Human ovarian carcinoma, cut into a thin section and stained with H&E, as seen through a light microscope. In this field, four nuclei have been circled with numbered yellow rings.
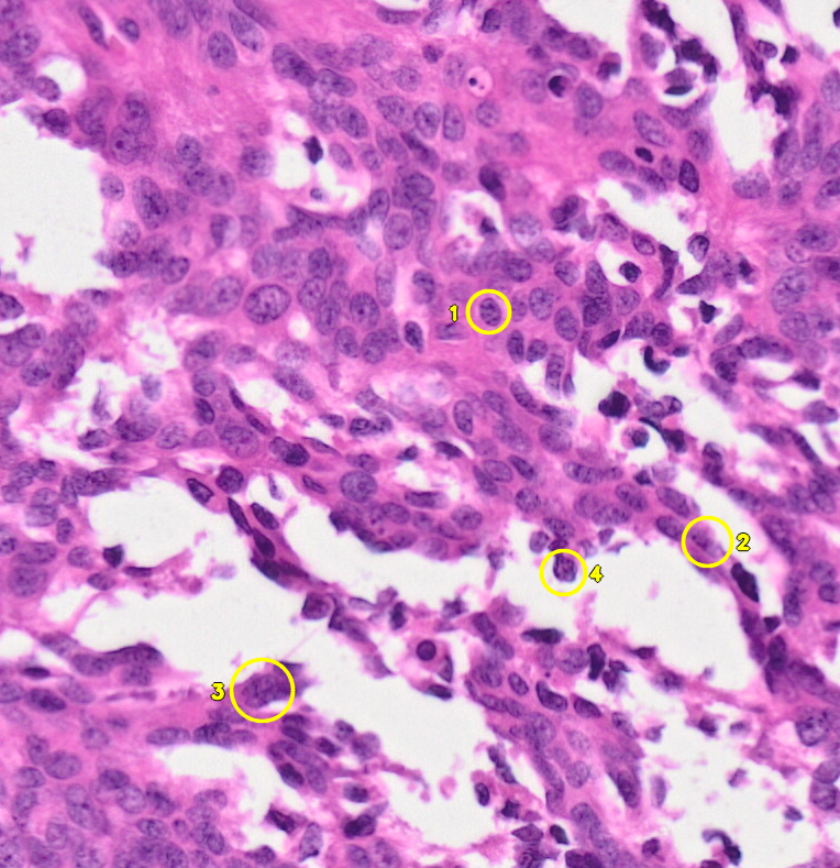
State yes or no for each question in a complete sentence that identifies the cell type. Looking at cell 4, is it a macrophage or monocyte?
No, cell 4 is not a macrophage or monocyte; it is a carcinoma cell.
